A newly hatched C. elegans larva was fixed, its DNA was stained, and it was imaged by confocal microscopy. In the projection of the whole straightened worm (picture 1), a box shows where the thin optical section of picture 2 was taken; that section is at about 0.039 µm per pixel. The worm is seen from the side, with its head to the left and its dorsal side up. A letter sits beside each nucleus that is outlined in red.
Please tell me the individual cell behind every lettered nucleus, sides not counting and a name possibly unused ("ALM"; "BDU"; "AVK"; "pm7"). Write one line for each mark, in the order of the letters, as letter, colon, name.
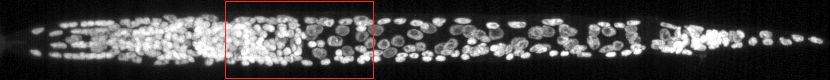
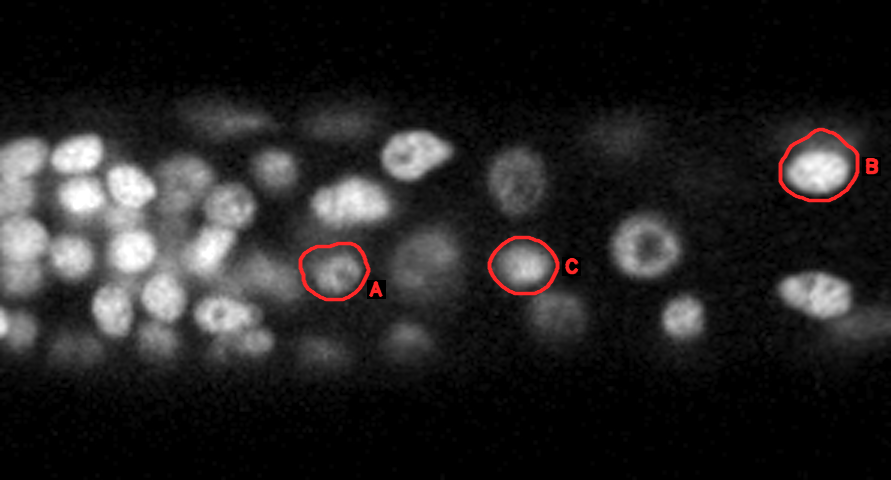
A: pm7
B: ALM
C: BDU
